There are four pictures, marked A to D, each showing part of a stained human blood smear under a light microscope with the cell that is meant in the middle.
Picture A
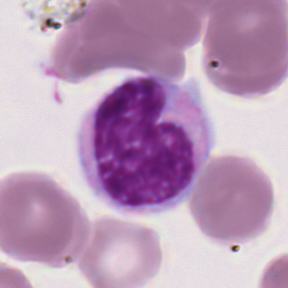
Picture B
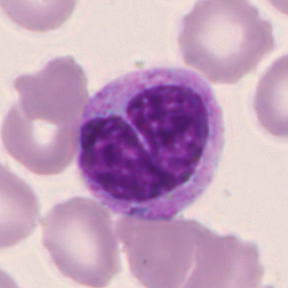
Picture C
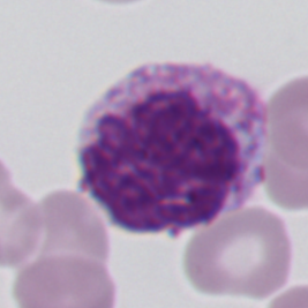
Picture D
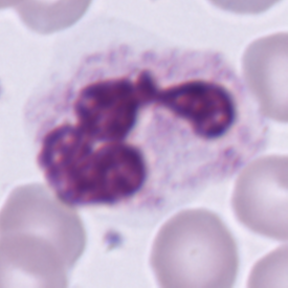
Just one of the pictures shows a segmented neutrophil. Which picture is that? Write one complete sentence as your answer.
Picture D shows the segmented neutrophil.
